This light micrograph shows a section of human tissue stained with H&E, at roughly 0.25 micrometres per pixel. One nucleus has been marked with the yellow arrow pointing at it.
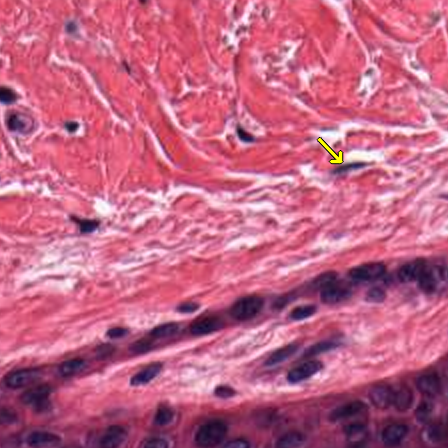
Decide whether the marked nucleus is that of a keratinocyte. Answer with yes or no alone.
no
